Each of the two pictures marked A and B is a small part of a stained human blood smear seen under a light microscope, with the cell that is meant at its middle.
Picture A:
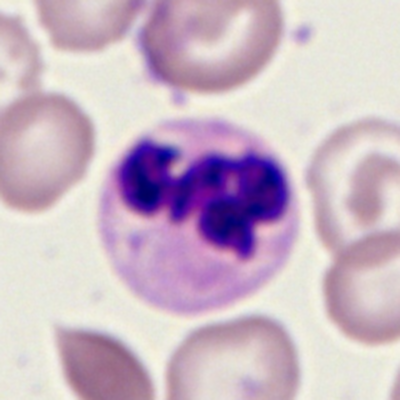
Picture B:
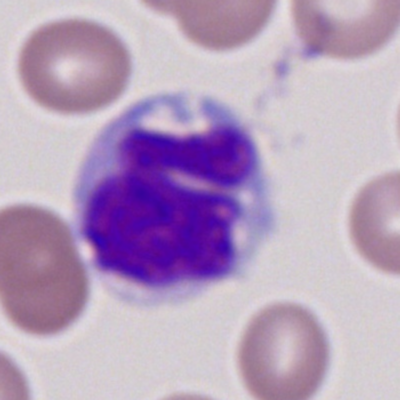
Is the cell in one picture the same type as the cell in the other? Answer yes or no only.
no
